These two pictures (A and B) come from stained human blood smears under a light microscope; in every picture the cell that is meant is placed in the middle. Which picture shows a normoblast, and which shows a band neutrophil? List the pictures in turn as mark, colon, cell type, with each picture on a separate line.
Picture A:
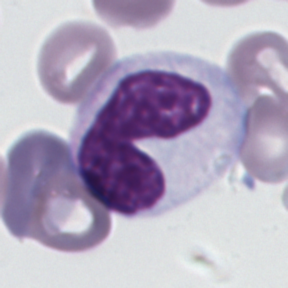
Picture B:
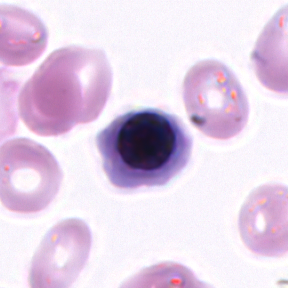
A: band neutrophil
B: normoblast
